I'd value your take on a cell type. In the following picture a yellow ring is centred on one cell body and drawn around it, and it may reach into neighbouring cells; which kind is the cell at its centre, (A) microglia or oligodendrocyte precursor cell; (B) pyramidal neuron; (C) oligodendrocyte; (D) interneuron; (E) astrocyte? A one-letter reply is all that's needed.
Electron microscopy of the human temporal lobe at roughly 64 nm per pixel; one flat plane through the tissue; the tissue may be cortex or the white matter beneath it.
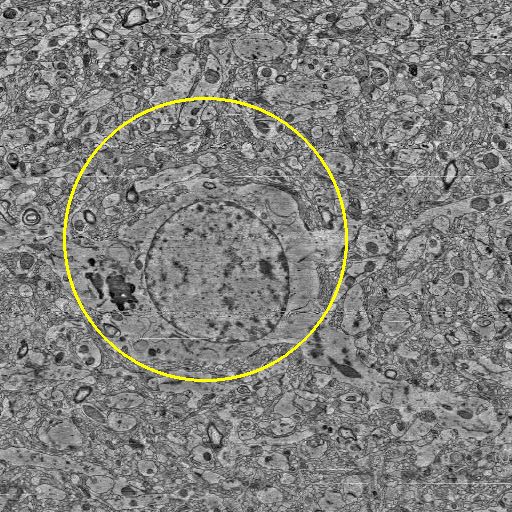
E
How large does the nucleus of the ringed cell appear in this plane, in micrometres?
The nucleus is about 10 micrometres across in this plane.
